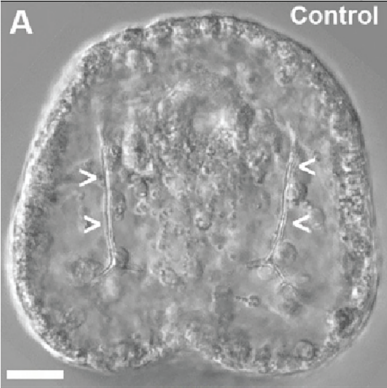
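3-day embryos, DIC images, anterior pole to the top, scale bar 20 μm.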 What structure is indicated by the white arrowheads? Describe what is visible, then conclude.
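Thin, refractile rod-like structures run through the interior on both sides of the embryo. The rods branch near the lower end of the embryo. That points to this answer: skeletal spicules.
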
